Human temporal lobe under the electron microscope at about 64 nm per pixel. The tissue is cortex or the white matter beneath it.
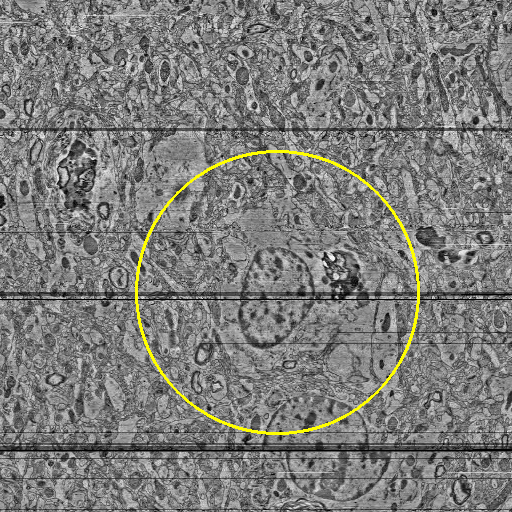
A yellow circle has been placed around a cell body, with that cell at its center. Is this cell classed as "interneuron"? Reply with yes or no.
No, it belongs to another class.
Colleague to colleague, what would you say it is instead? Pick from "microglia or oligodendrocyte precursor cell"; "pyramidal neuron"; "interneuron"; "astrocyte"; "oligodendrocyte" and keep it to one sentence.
Sitting at the ring centre is an astrocyte.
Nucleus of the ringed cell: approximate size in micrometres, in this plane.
In this plane the nucleus measures roughly 7 by 4 micrometers.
